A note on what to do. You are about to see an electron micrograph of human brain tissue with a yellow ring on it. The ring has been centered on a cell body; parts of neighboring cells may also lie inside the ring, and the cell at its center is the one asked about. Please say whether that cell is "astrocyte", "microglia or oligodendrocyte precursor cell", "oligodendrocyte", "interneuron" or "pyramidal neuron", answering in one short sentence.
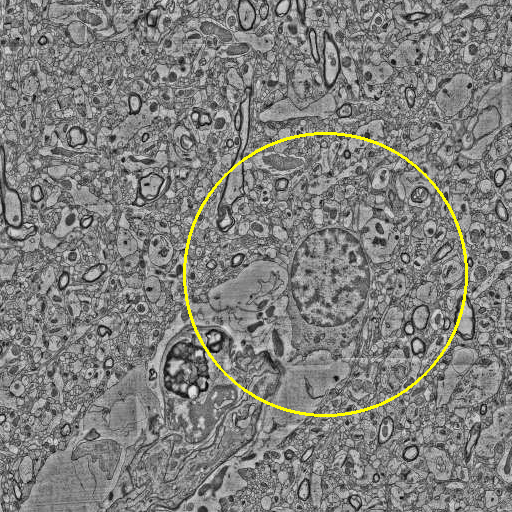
The yellow ring sits on an oligodendrocyte.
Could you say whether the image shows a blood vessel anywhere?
Yes, the image shows a blood vessel.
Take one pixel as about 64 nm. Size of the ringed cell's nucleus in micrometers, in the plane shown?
The nucleus has a long axis of about 6 micrometres and a short axis of about 5 micrometres in this plane.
